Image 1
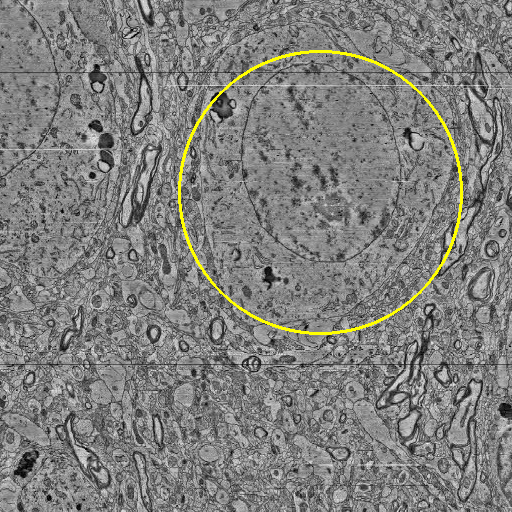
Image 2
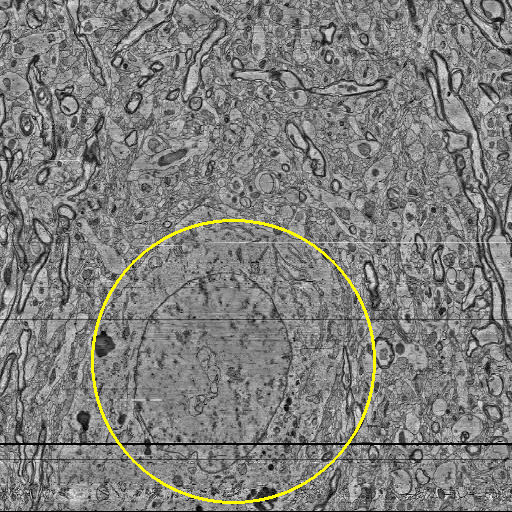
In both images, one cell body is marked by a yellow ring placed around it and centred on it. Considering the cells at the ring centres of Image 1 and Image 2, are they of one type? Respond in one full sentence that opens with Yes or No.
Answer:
Yes, a single type applies to the ring-centred cells of both Image 1 and Image 2.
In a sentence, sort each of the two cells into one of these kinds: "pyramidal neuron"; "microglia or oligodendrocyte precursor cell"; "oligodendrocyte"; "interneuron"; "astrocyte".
Both rings mark a pyramidal neuron, one in each picture.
